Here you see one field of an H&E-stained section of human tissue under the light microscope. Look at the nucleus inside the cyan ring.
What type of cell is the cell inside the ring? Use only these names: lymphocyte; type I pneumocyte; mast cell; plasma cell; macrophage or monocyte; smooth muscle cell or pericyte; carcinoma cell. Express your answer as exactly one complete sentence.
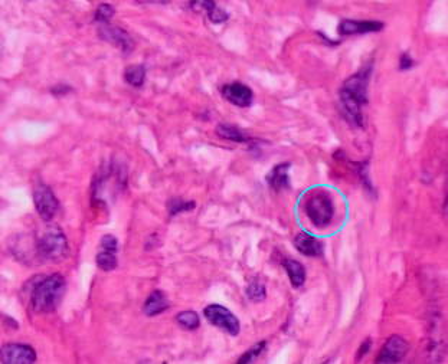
So far as cell type goes, the cell inside the ring is a plasma cell.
